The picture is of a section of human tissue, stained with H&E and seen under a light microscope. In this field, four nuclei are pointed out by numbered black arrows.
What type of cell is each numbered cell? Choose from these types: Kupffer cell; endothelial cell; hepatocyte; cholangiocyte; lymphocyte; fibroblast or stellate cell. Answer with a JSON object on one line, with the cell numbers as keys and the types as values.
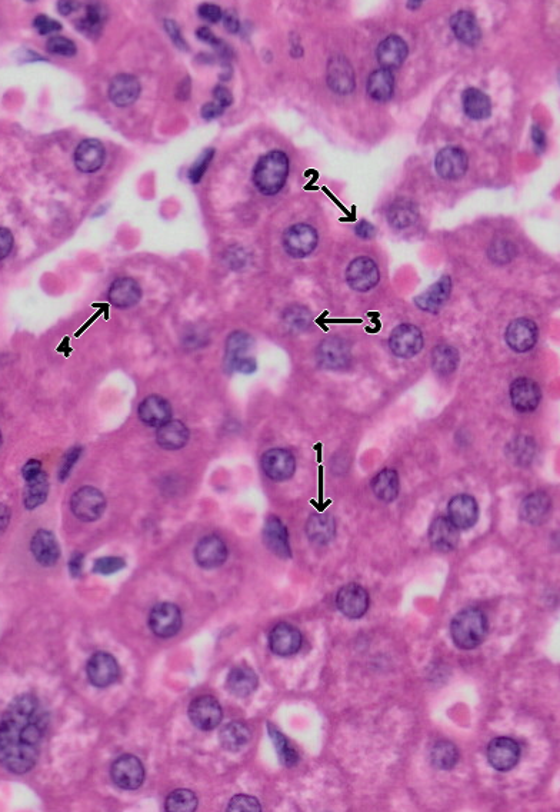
{"1": "hepatocyte", "2": "fibroblast or stellate cell", "3": "hepatocyte", "4": "hepatocyte"}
